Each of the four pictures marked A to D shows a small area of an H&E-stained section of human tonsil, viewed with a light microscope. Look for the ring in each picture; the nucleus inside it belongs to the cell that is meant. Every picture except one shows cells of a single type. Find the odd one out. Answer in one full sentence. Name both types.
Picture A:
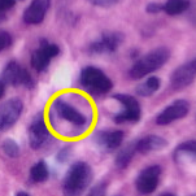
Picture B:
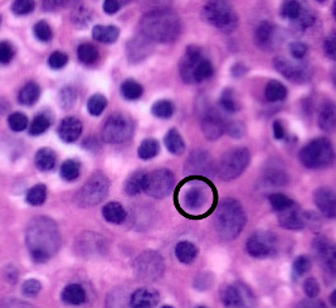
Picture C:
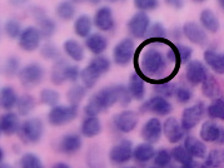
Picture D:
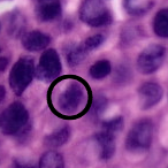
Picture C is the odd one out: it shows a small lymphocyte, while the others show squamous epithelial cells.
